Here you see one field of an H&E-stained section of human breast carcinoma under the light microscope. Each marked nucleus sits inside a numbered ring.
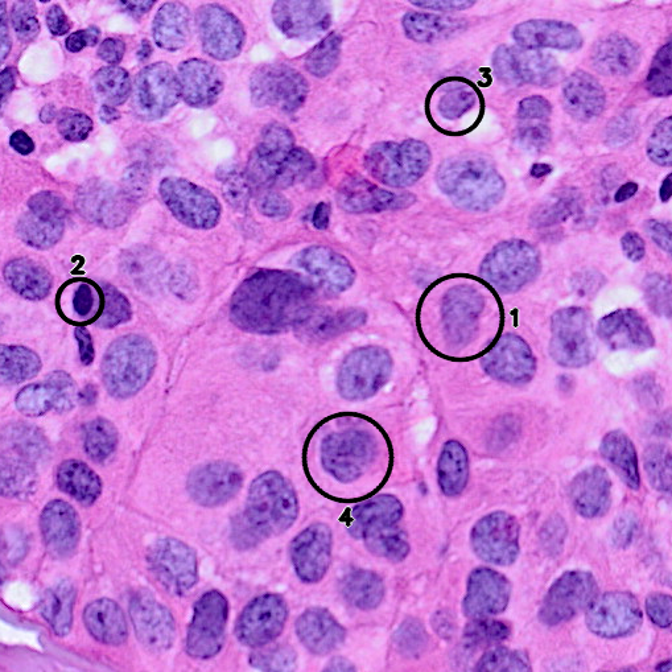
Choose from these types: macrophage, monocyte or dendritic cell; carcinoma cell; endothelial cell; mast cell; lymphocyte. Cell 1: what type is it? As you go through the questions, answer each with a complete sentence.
In this section, number 1 marks a carcinoma cell.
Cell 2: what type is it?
The marked cell with the number 2 is recognised as a lymphocyte.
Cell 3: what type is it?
Cell 3 in the field of view is a carcinoma cell.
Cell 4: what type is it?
Classified as a carcinoma cell is the cell with the number 4.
